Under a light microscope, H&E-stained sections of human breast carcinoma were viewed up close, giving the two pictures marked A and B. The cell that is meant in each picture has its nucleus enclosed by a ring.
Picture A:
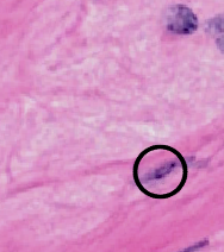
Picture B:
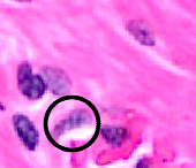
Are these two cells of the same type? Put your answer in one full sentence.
No. Picture A shows a fibroblast, but picture B shows an endothelial cell.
